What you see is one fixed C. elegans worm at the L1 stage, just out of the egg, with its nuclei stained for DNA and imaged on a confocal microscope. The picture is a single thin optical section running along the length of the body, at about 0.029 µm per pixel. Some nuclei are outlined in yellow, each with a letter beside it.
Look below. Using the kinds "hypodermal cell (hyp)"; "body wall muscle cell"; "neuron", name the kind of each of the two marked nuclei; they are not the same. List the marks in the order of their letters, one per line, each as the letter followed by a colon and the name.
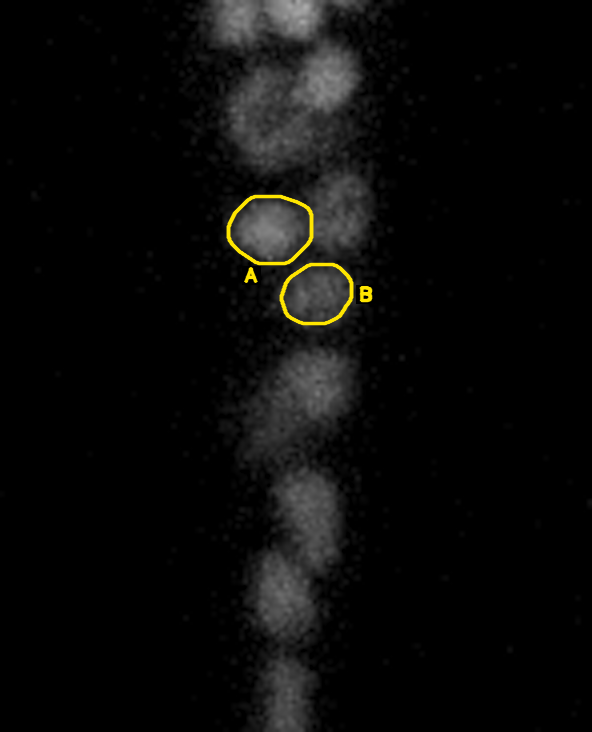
A: neuron
B: hypodermal cell (hyp)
